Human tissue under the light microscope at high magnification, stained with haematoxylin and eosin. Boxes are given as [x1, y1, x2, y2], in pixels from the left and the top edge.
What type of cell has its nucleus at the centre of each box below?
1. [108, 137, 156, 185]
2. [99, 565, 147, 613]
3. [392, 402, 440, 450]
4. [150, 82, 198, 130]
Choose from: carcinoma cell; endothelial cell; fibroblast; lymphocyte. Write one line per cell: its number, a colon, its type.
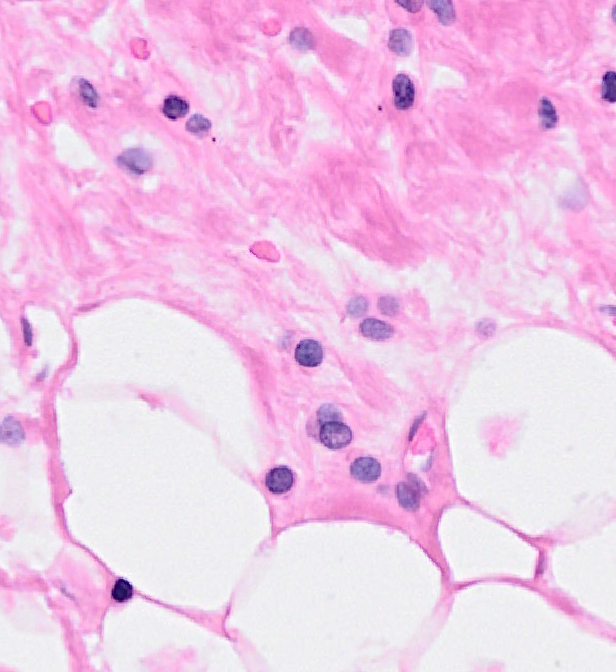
1: fibroblast
2: lymphocyte
3: endothelial cell
4: lymphocyte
